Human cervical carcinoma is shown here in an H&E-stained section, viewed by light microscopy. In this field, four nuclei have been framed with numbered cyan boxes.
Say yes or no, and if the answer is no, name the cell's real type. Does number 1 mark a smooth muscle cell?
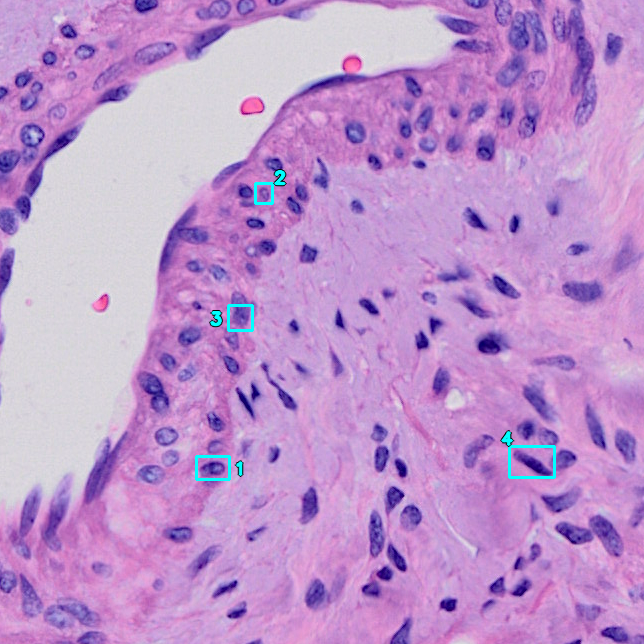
Yes.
